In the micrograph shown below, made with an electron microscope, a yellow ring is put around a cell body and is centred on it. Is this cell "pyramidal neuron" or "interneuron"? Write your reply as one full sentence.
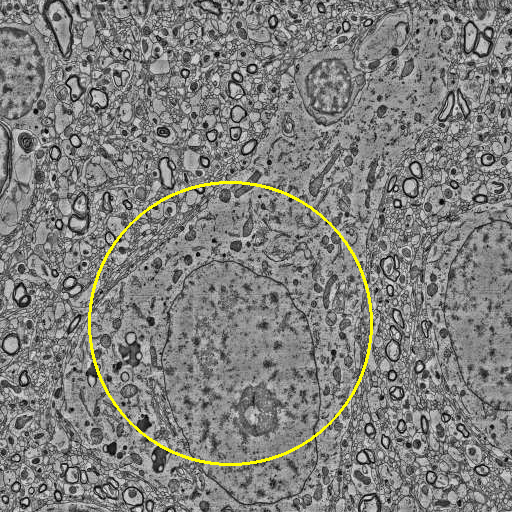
In the micrograph, a pyramidal neuron is the cell at the centre of the yellow ring.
